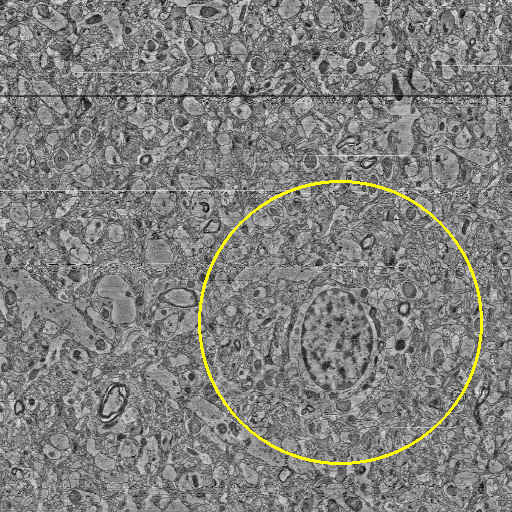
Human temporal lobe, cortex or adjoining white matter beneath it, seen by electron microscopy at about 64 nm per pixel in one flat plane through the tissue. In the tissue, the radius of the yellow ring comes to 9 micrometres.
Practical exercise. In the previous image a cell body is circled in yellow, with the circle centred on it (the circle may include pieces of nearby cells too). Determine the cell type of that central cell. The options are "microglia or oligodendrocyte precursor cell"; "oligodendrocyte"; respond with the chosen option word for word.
microglia or oligodendrocyte precursor cell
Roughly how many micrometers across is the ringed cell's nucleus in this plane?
In this plane, about 7 micrometres in length and 5 in width.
